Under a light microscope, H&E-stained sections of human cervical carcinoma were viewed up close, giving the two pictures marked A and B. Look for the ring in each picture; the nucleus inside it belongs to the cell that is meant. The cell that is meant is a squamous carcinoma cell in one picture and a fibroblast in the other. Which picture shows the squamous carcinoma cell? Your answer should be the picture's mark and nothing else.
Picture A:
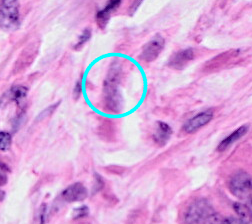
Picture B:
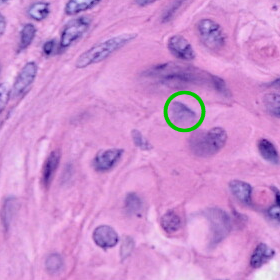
B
